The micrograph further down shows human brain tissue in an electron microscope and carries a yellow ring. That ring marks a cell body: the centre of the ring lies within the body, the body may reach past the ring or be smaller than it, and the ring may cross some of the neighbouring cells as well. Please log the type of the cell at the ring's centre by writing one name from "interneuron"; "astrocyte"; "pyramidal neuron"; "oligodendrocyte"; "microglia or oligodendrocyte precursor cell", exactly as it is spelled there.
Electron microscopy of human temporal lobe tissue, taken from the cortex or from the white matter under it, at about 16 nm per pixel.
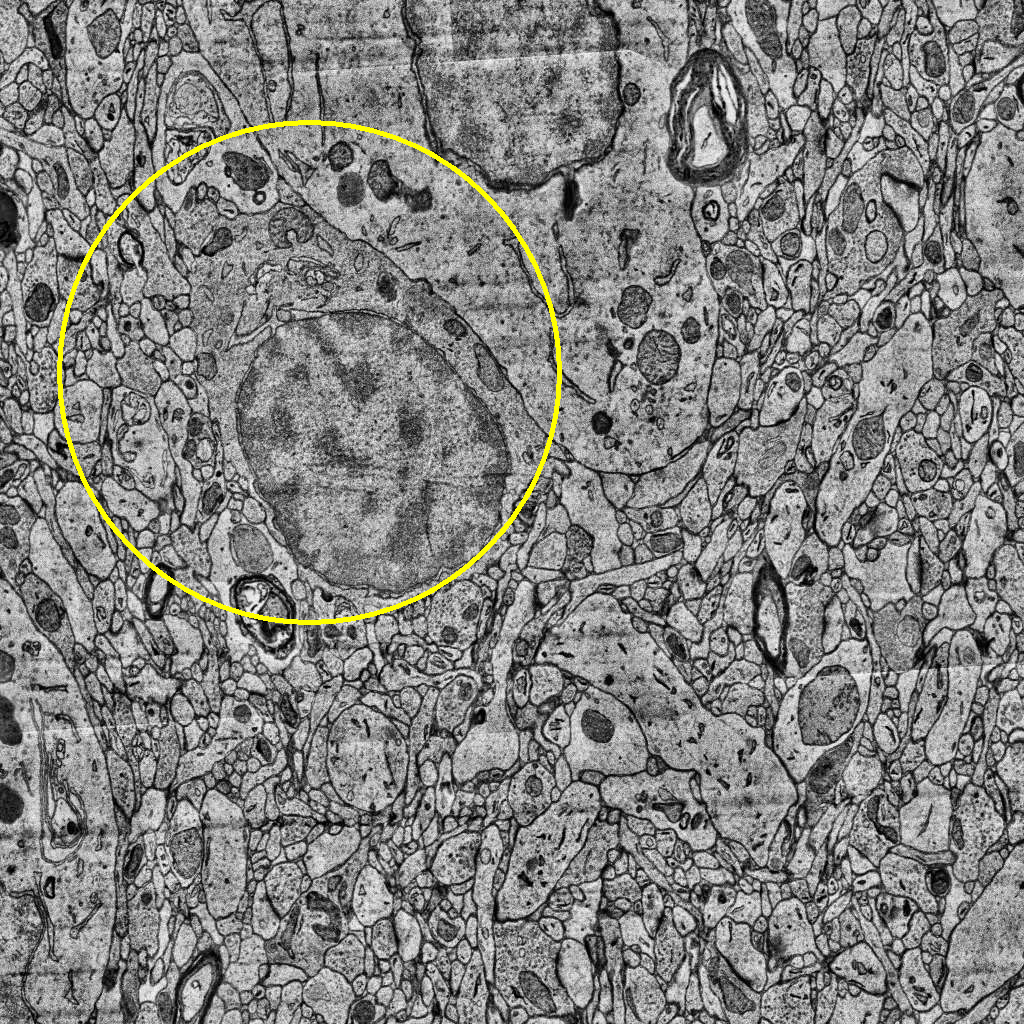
oligodendrocyte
